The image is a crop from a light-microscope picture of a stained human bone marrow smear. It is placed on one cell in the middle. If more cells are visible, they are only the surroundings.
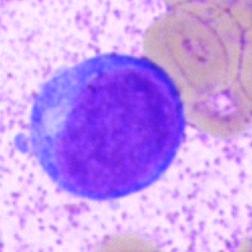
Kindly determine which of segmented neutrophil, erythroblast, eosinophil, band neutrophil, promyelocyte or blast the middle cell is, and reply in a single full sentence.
Located at the centre of the crop is a blast.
